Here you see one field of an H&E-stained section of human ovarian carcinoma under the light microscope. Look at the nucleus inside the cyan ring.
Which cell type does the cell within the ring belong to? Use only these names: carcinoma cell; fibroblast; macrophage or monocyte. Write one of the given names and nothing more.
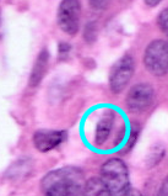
carcinoma cell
